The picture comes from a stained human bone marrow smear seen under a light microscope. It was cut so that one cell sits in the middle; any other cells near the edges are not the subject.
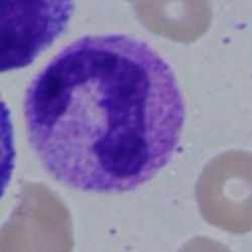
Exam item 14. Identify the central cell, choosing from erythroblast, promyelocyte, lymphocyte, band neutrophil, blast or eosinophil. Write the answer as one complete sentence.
Among the cells in view, the one in the middle is a band neutrophil.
